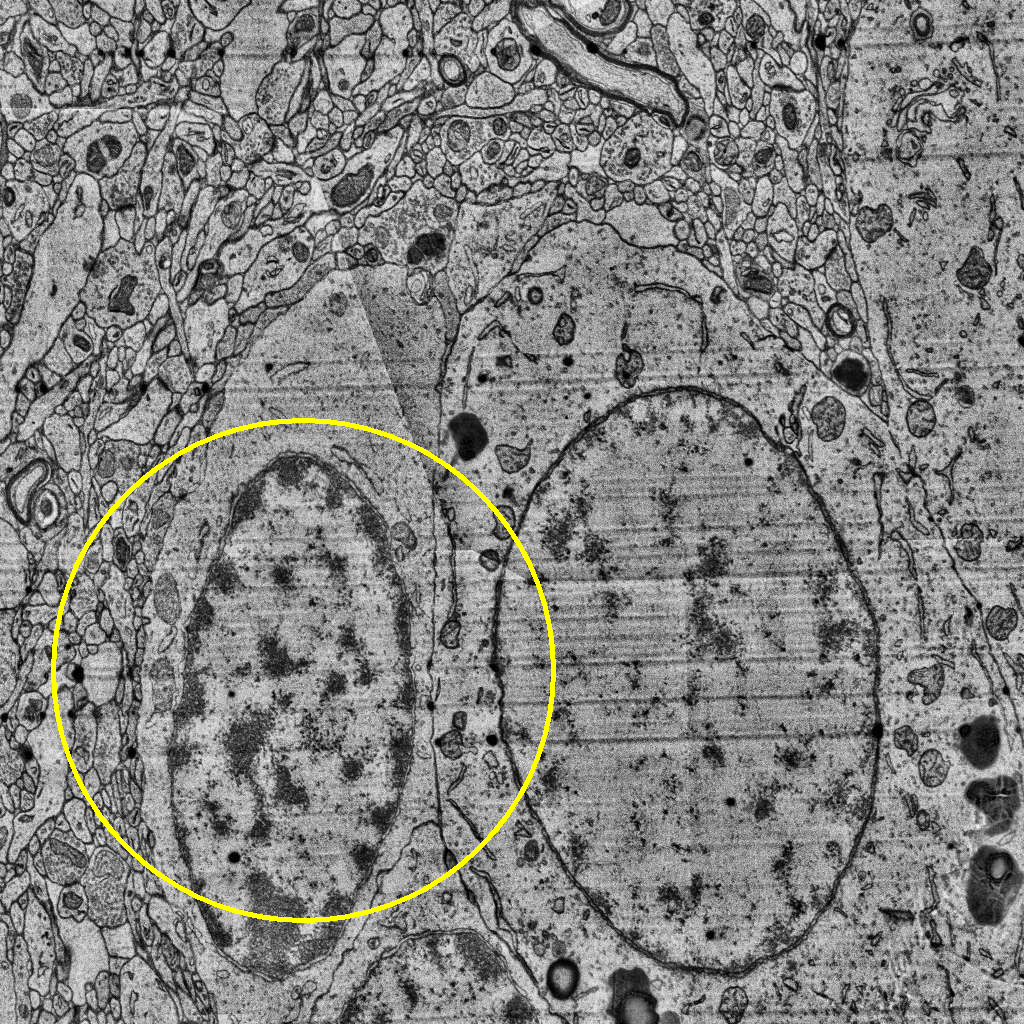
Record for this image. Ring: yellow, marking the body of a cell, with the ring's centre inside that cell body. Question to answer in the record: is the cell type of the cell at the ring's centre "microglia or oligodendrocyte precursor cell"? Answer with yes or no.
yes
